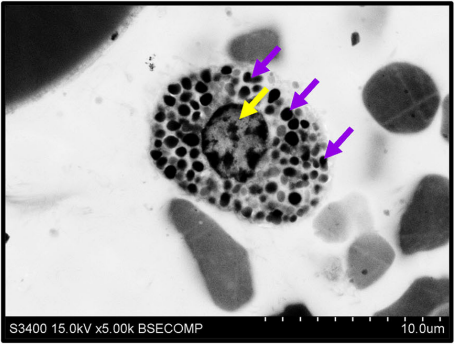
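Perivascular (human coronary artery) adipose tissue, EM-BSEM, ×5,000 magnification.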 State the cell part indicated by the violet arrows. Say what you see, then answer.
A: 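The marked bodies are dark, round and fairly uniform in size. They fill the cytoplasm around the nucleus. On this evidence: large spherical inclusions.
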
